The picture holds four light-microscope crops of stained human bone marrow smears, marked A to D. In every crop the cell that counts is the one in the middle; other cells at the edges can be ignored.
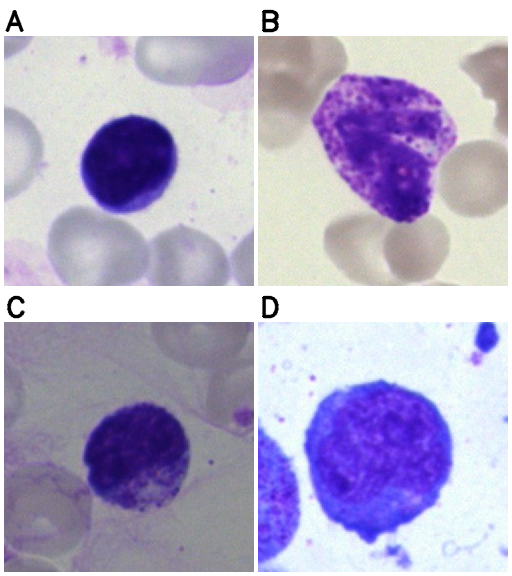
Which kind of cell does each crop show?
A: lymphocyte
B: basophil
C: myelocyte
D: blast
